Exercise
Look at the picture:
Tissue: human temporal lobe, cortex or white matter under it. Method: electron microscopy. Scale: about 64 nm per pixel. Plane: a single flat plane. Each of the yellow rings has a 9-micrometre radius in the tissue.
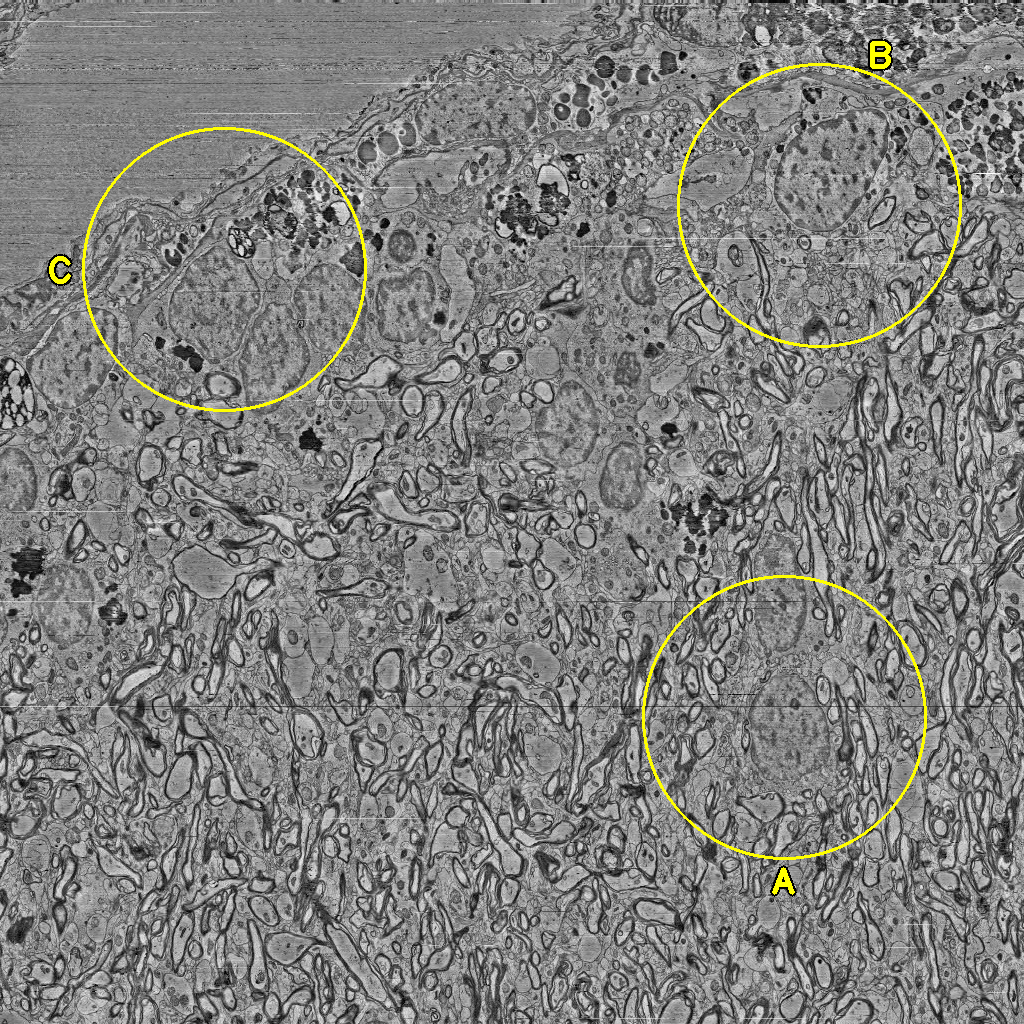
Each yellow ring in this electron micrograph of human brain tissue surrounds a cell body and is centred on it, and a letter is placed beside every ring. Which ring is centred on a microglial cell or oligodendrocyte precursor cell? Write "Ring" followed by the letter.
Ring B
